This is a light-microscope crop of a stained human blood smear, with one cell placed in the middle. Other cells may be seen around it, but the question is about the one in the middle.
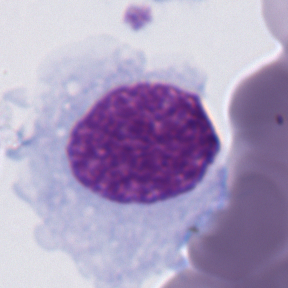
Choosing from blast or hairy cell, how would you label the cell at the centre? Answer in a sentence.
The central element of this crop is a cell, namely a hairy cell.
